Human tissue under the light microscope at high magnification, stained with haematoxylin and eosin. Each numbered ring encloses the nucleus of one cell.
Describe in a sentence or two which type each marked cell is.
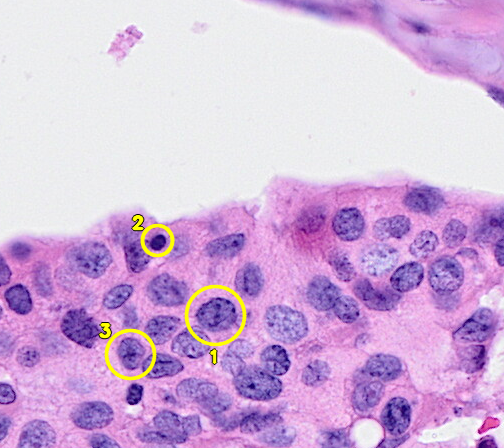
Cell 1 is a carcinoma cell, cell 2 is a lymphocyte and cell 3 is a carcinoma cell.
